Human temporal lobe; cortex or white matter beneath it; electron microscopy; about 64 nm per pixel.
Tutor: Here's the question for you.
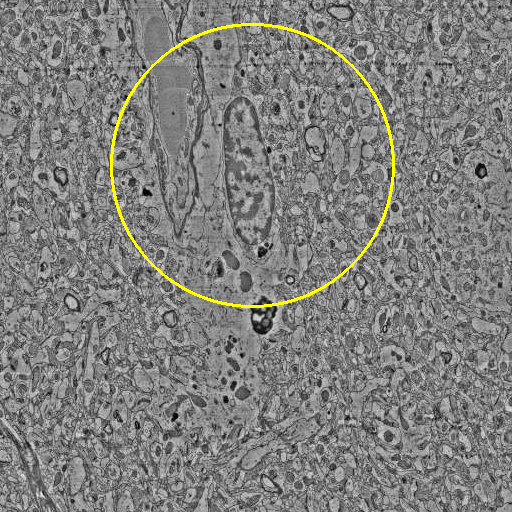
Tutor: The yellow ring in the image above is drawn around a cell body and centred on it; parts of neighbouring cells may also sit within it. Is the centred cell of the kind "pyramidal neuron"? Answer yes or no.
no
